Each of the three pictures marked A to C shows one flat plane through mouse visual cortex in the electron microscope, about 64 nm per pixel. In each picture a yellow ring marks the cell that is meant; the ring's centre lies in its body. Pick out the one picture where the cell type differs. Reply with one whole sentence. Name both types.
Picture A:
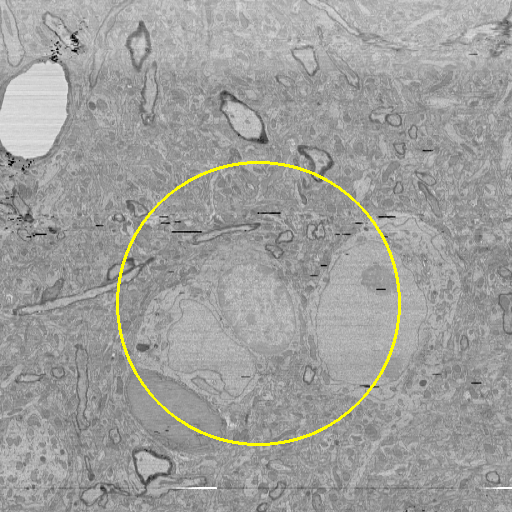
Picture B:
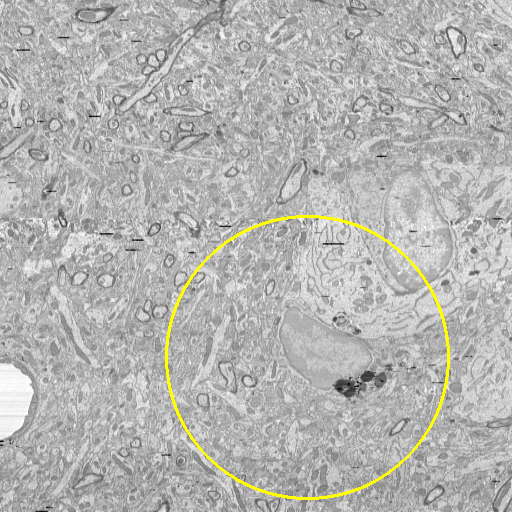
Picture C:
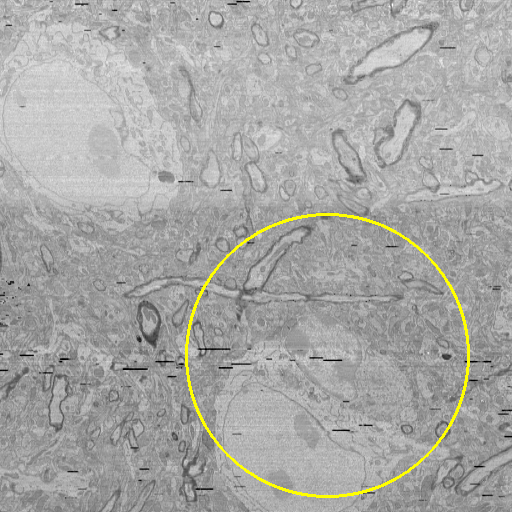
The different one is picture B; it shows a microglial cell, whereas all the others show oligodendrocytes.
